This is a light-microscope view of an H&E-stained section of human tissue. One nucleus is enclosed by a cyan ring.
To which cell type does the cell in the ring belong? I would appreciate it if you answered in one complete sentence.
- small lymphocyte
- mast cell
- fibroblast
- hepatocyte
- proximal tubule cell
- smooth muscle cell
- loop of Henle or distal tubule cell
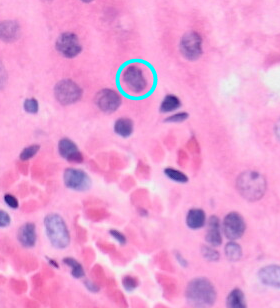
By its classification, the cell in the ring is a proximal tubule cell.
